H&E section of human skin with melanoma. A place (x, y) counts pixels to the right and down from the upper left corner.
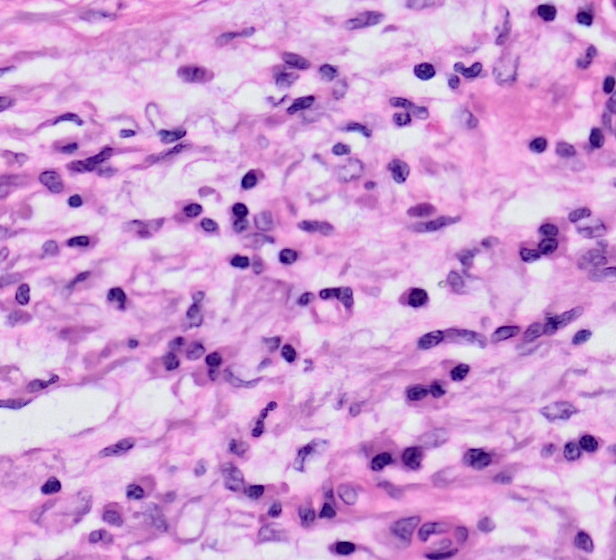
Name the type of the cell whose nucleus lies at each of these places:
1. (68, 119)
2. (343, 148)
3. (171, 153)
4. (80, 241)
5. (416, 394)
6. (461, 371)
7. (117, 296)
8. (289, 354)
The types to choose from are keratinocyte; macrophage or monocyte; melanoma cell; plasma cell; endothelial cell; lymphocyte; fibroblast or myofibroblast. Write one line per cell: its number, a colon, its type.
1: fibroblast or myofibroblast
2: lymphocyte
3: fibroblast or myofibroblast
4: plasma cell
5: plasma cell
6: plasma cell
7: plasma cell
8: plasma cell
